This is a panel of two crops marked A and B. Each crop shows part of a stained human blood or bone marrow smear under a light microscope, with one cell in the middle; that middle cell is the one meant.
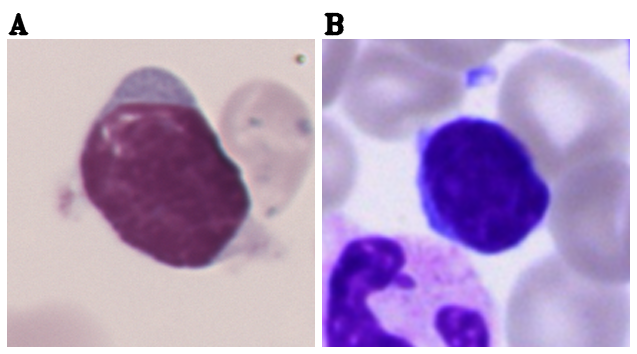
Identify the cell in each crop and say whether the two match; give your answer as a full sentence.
Yes, both crops show a cell each, and these are lymphocytes.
